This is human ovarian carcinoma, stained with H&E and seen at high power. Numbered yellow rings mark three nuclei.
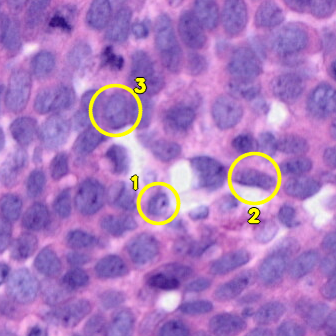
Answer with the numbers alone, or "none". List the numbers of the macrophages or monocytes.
1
